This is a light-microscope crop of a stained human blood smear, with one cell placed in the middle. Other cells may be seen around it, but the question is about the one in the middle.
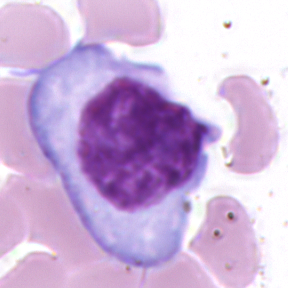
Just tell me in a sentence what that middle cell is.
Occupying the centre of the crop is a plasma cell.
